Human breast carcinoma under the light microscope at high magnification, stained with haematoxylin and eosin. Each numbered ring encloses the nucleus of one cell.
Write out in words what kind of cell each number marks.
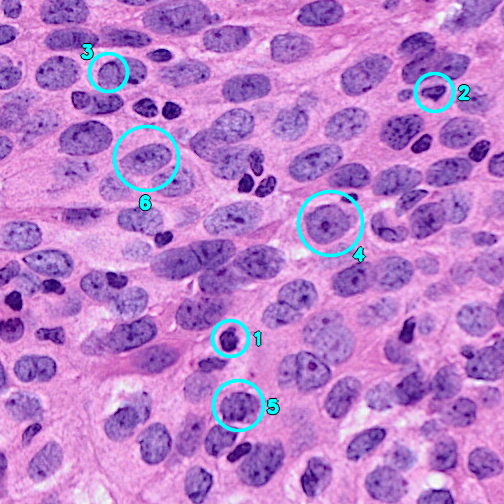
Cells 1 and 2 are lymphocytes. Cells 3, 4, 5 and 6 are carcinoma cells.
